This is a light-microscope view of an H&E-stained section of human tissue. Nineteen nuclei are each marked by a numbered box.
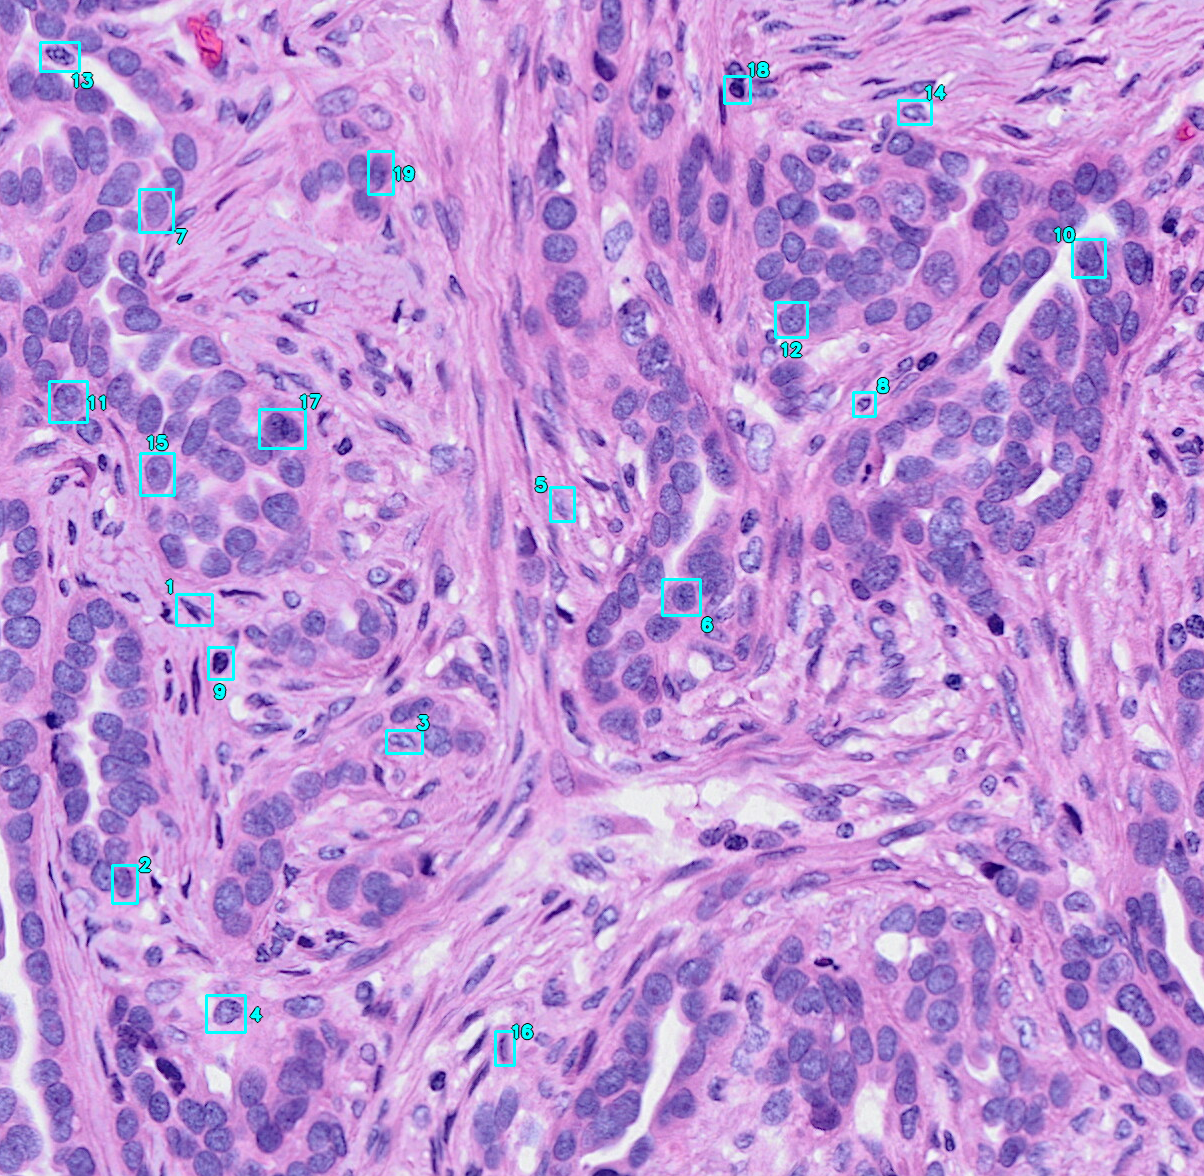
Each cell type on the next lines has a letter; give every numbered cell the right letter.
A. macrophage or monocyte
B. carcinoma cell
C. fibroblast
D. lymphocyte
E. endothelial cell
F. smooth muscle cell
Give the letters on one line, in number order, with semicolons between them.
C; B; C; A; C; B; B; D; D; B; B; B; A; C; B; C; B; D; B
